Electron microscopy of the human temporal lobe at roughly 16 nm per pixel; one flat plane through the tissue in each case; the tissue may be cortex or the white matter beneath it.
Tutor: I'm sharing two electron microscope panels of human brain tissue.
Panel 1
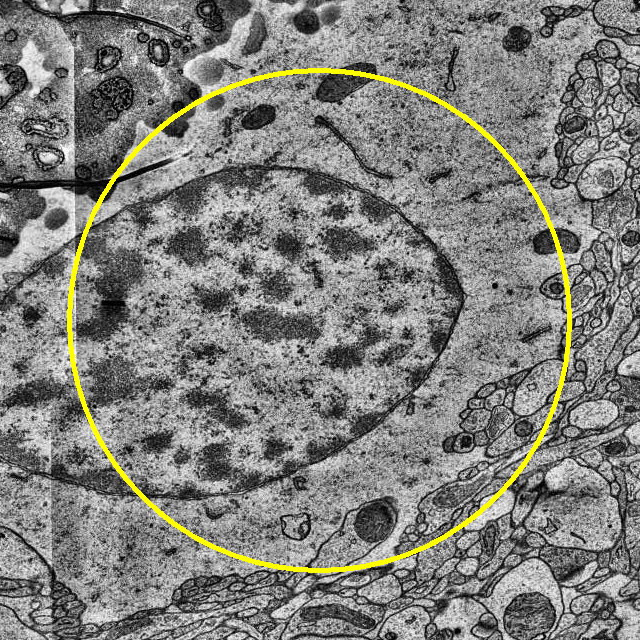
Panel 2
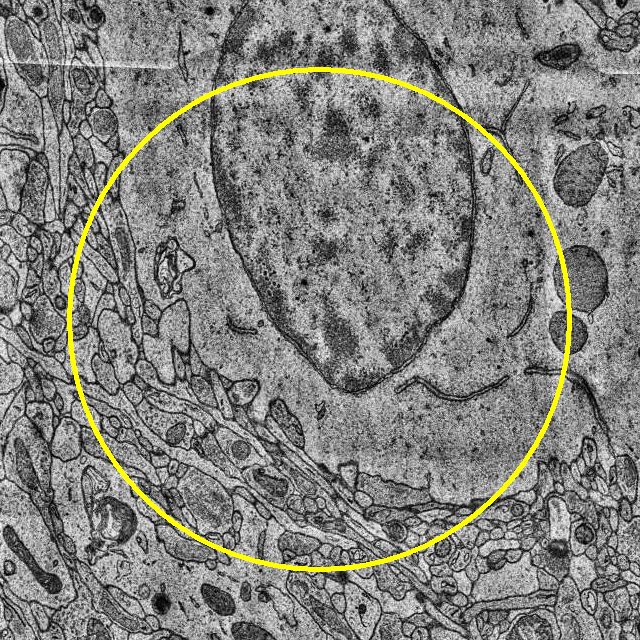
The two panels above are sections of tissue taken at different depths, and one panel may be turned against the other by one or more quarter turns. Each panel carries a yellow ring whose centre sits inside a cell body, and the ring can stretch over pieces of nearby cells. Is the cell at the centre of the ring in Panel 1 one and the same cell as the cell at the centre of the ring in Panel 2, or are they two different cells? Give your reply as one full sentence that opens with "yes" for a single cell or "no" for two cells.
Yes, what the two rings mark is one cell.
